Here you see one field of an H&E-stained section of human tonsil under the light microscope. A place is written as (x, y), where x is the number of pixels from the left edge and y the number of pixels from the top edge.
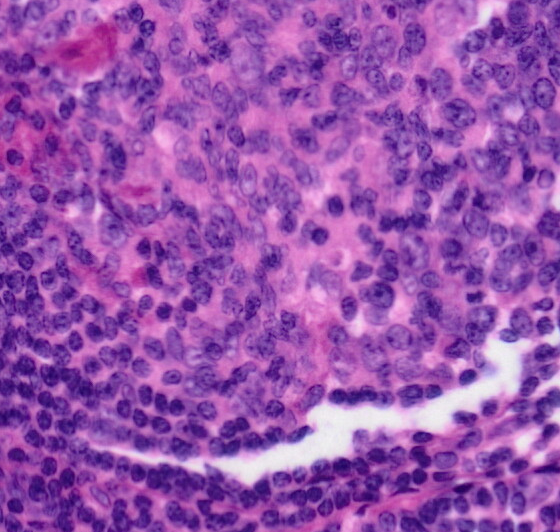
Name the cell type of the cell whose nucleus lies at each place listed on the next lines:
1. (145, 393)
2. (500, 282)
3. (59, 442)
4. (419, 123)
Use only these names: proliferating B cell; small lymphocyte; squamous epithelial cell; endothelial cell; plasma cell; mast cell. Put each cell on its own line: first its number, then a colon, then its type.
1: small lymphocyte
2: proliferating B cell
3: small lymphocyte
4: proliferating B cell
